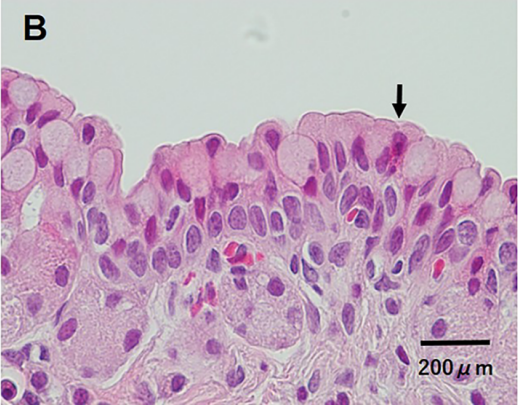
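Conjunctival epithelium with a single inflammatory cell in its upper layer. The epithelium is stratified, with densely packed oval to elongated purple nuclei through several layers and a smoothly domed surface. Pale rounded goblet cells with clear cytoplasm are scattered in the superficial layers. A deeply red-magenta stained small cell lies just under the surface among the epithelial cells. A few red blood cells lie in small vessels near the base. Beneath, pale pink connective tissue with scattered nuclei and rounded pale structures forms the substantia below the epithelium.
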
